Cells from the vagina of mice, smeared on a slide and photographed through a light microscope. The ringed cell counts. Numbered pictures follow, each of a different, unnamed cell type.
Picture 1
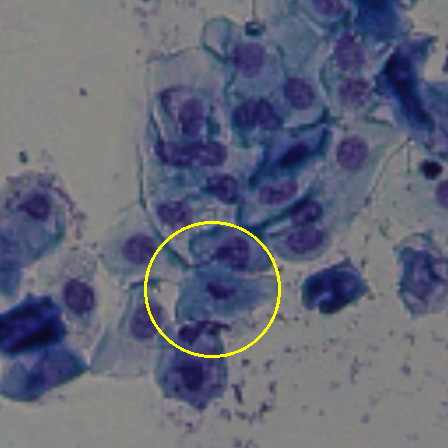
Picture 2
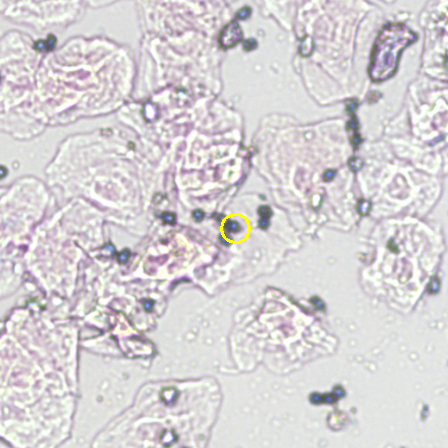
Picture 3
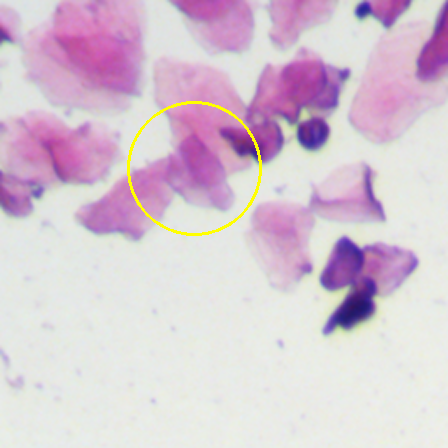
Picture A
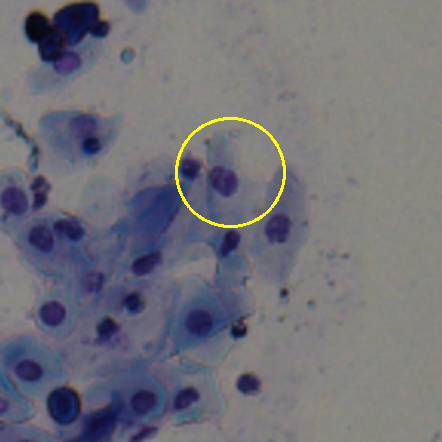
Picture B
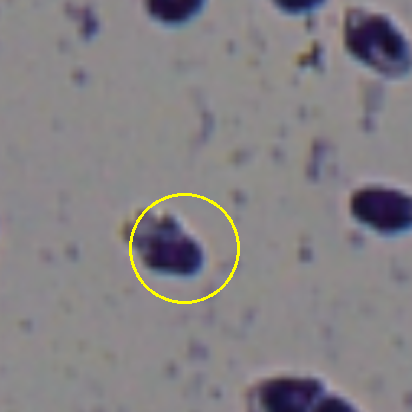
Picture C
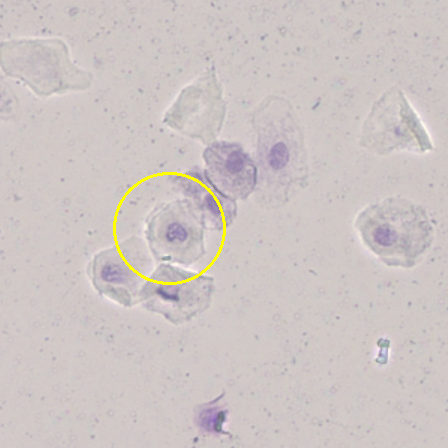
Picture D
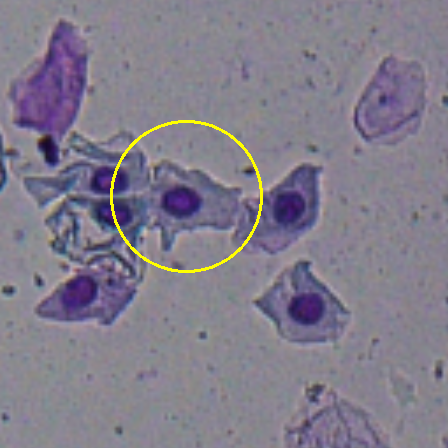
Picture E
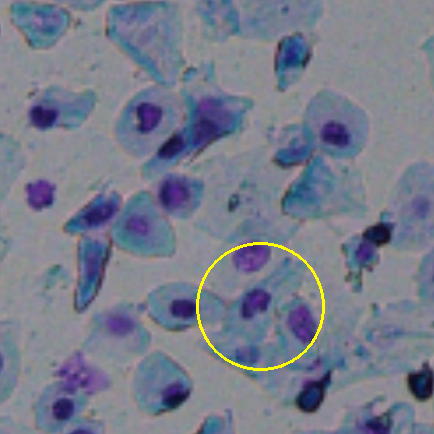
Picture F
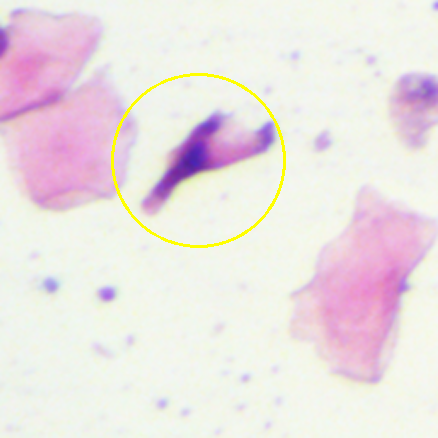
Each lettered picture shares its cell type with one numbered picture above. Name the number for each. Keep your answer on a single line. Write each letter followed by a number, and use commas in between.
A 1, B 2, C 1, D 1, E 1, F 1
